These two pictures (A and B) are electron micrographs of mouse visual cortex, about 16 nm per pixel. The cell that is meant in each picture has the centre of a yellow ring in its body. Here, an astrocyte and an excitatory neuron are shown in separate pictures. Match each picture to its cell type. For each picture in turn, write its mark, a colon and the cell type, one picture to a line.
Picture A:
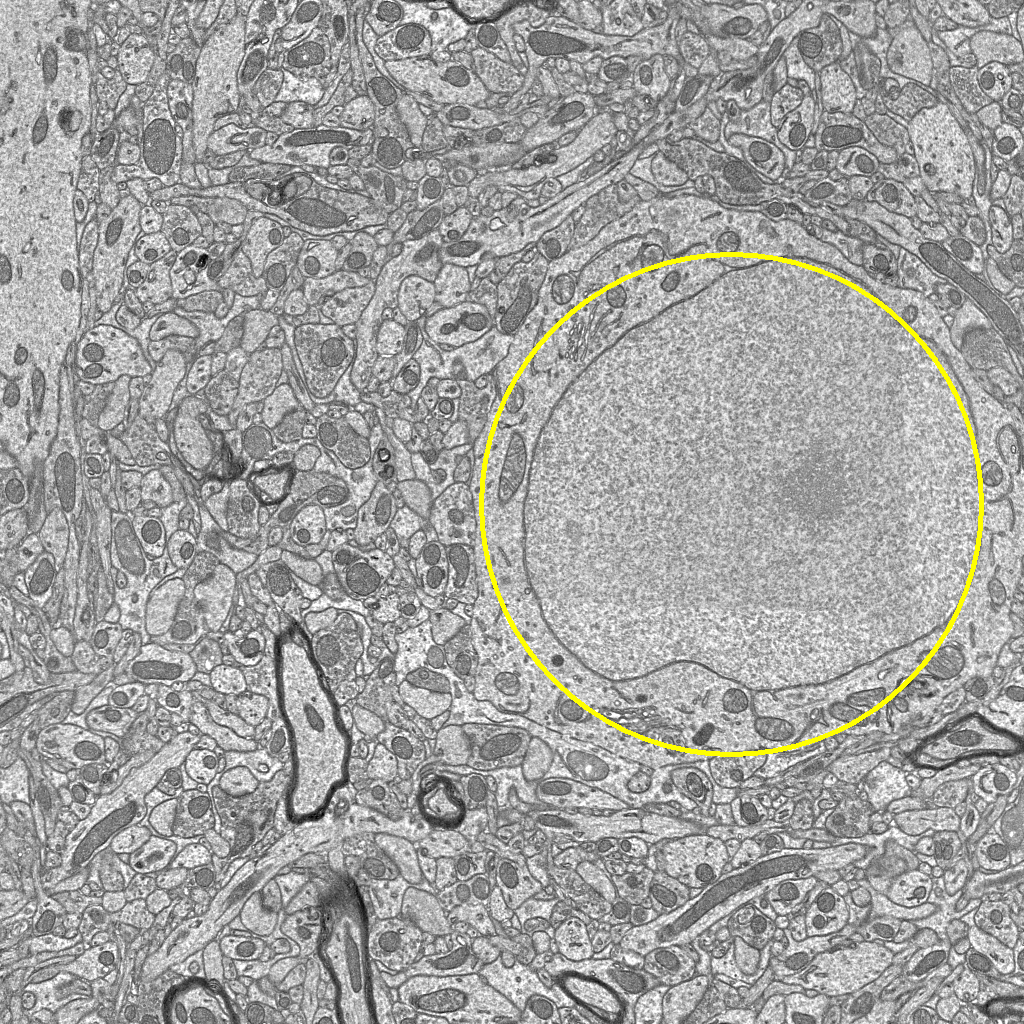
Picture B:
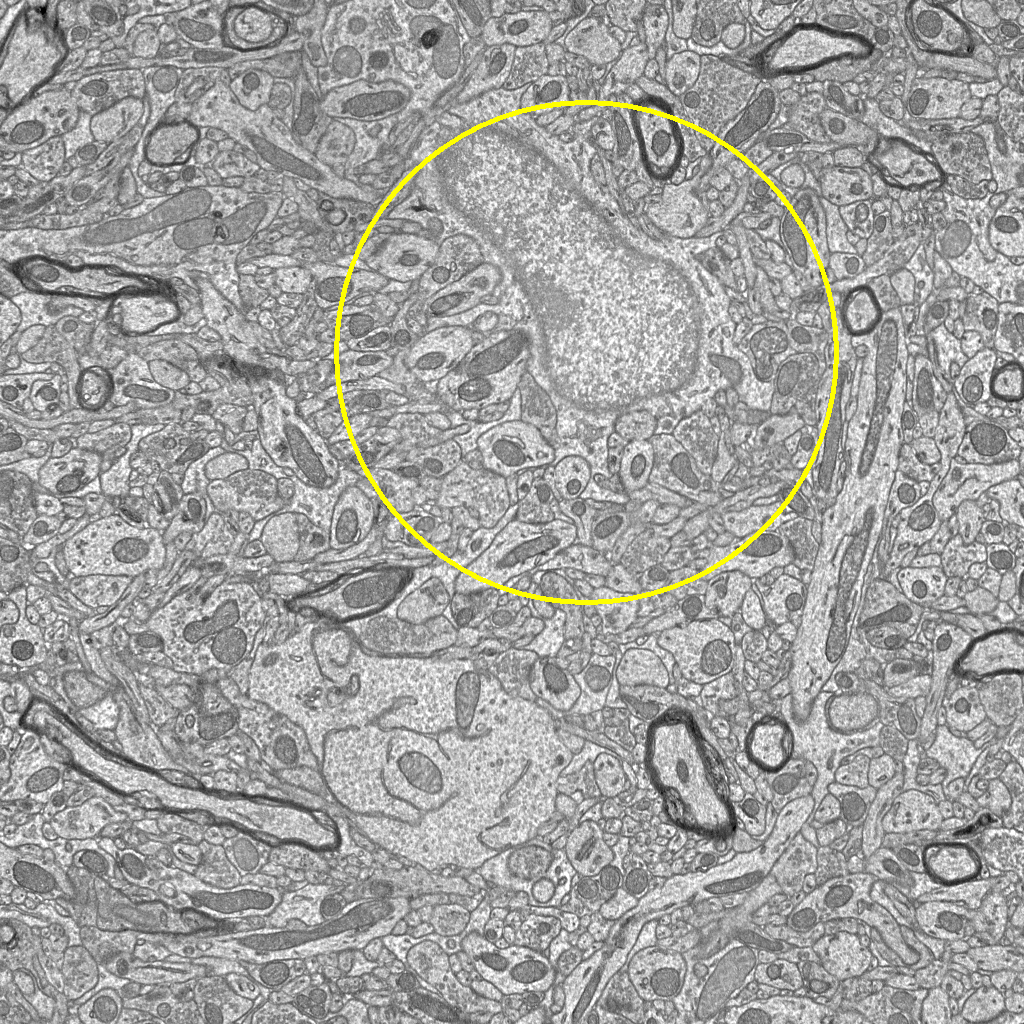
A: excitatory neuron
B: astrocyte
